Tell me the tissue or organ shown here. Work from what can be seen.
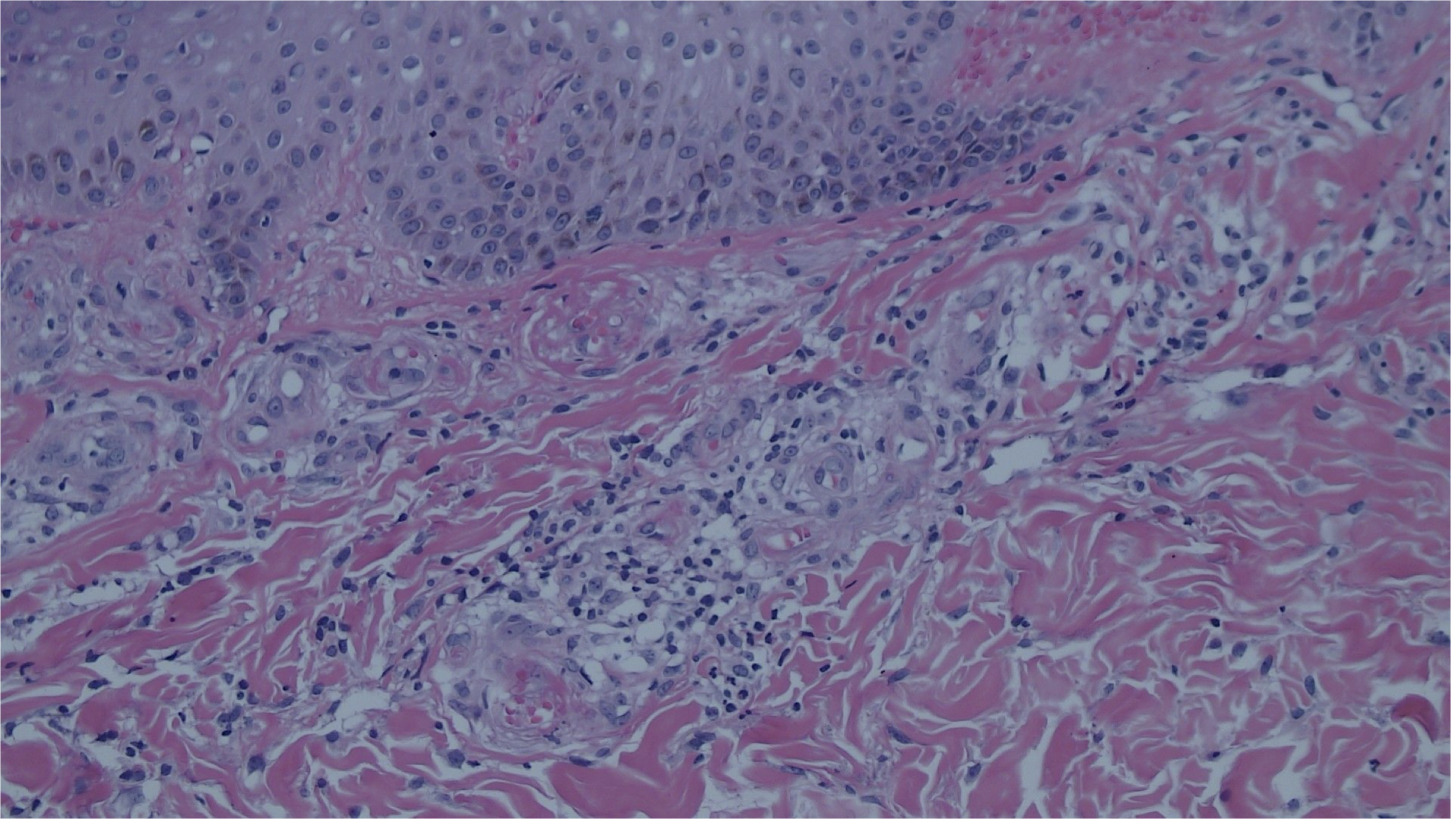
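A stratified squamous epithelium runs across the top of the field. Beneath it lies a dermis of pink collagen bundles.
Conclusion: skin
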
